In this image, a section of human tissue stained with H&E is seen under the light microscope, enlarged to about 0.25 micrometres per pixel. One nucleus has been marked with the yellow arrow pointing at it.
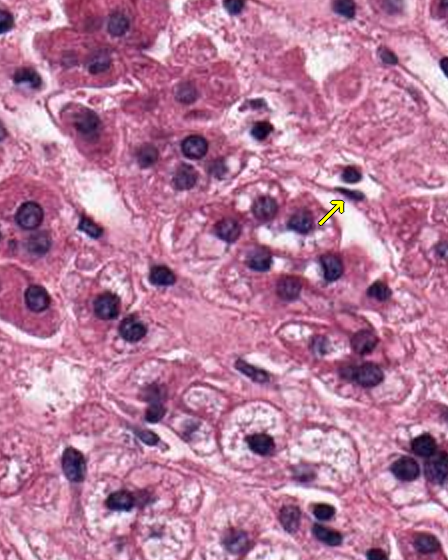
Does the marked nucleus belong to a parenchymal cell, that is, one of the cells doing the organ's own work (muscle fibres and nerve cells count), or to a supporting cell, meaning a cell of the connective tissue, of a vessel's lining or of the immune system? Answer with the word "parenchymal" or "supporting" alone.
supporting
